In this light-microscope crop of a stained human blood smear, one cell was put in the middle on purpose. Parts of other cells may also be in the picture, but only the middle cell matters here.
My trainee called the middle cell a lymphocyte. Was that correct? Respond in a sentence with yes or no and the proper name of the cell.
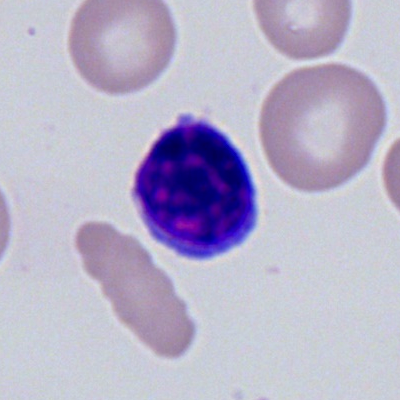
Yes, the cell placed centrally within the crop is a lymphocyte.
